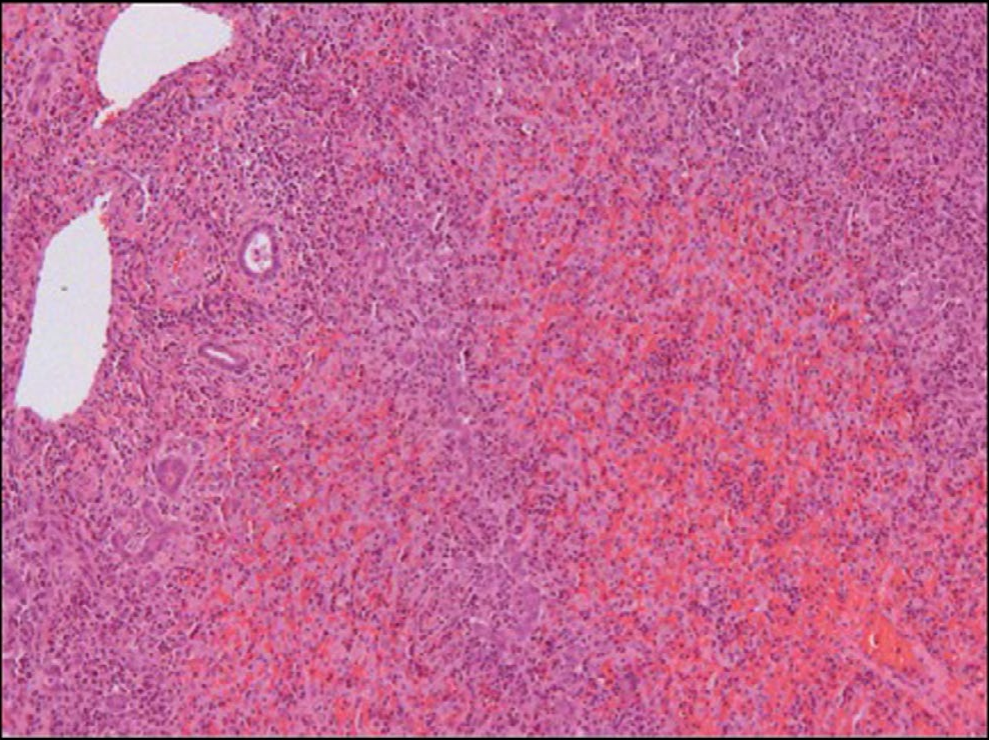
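This is liver seen at low power, with a portal tract at the upper left. That tract holds two wide, empty vessel lumens and small ducts lined by cuboidal cells. Around it and across the rest of the field, the normal plates of liver cells are largely gone. The parenchyma is replaced by a dense mix of small dark nucleated cells and broad sheets of bright red blood. Only scattered pink remnants of liver cells remain, and the lobular pattern can hardly be made out. The picture is one of widespread destruction of the liver tissue with heavy cellular infiltration and bleeding into it.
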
